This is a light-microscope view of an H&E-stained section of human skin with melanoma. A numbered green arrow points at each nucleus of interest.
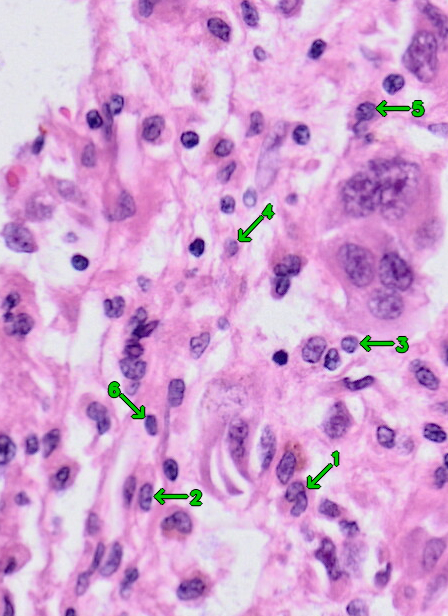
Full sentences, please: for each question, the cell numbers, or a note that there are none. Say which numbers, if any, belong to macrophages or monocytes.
The numbers 1, 2, 4 and 5 mark cells that are macrophages or monocytes.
